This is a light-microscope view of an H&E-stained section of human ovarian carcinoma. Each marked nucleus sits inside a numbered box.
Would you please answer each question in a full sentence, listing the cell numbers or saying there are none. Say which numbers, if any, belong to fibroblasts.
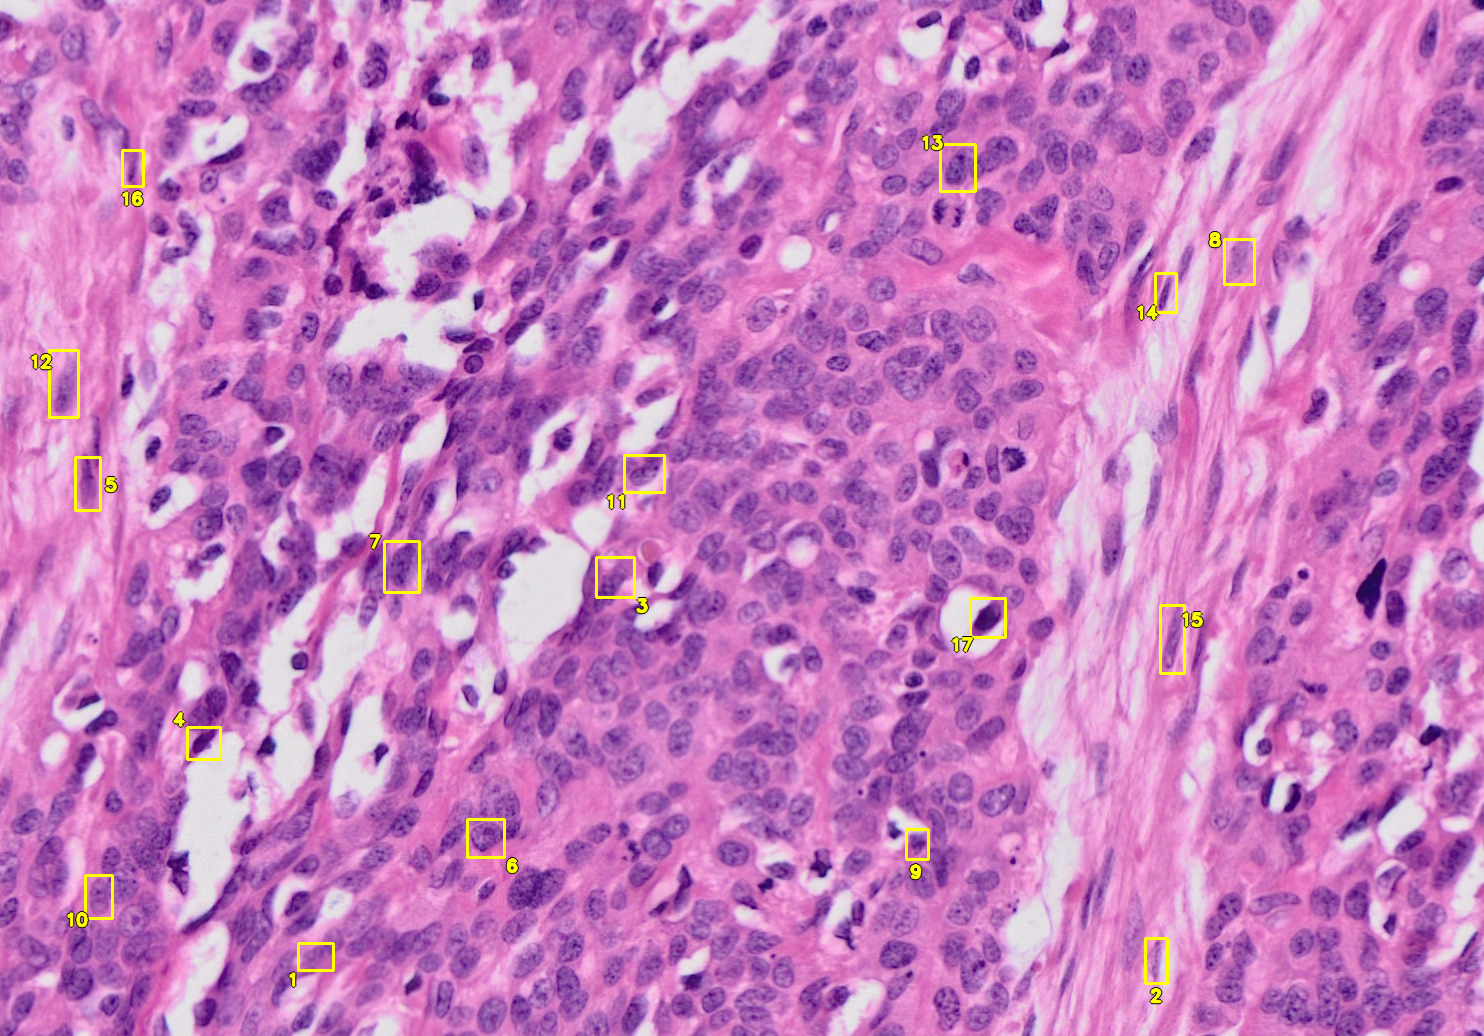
The cells assigned the numbers 2, 5, 8, 12, 14, 15 and 16 are fibroblasts.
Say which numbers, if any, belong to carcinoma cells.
Into the category of carcinoma cells fall the cells numbered 1, 3, 4, 6, 7, 9, 10, 13 and 17.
